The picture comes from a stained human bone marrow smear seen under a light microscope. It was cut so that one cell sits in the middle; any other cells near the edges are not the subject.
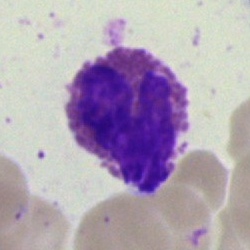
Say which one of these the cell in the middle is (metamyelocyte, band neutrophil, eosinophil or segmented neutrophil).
eosinophil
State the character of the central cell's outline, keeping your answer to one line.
The outer contour of the cell is irregular, with ragged portions or projections along it.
